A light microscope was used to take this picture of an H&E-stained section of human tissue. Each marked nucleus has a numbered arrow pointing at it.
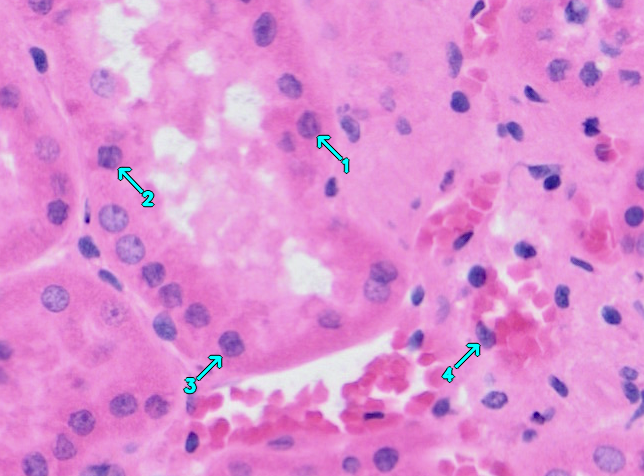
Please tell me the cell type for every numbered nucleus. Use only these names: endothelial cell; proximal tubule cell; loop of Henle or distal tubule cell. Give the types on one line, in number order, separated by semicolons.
proximal tubule cell; proximal tubule cell; proximal tubule cell; endothelial cell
